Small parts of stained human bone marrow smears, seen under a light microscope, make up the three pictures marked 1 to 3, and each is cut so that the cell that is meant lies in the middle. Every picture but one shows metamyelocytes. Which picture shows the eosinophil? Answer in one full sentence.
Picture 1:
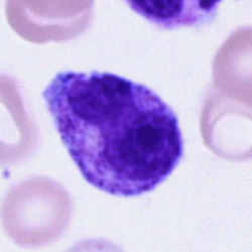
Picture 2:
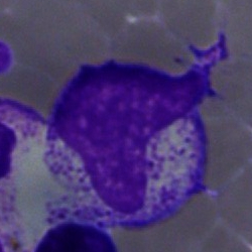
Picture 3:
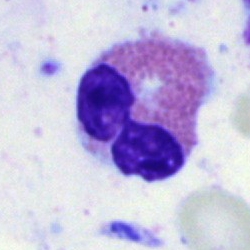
The cell in picture 3 is the eosinophil.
